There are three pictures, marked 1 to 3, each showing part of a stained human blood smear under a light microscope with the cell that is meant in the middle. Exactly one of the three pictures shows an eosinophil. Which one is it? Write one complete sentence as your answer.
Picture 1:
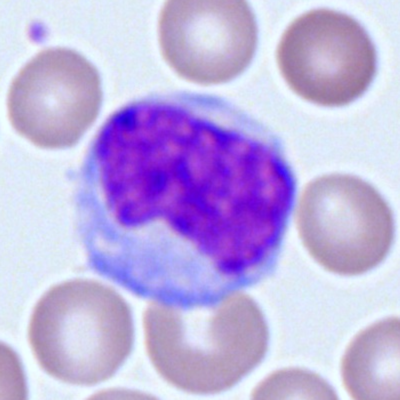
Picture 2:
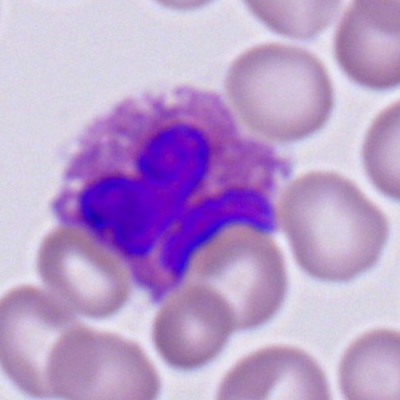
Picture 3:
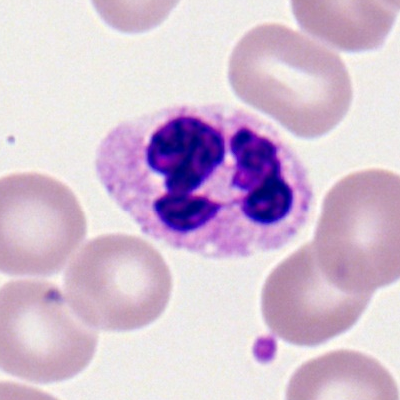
It is picture 2 that shows the eosinophil.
